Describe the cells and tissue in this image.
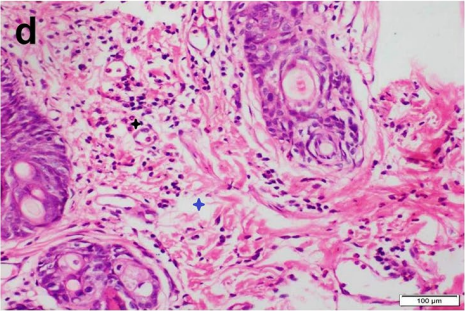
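This is the dermis of the skin, crowded with inflammatory cells lying among loose connective tissue. Many small cells with dark, round or irregular nuclei are scattered densely through the upper and middle field. The pink collagen fibres are pulled apart and separated by pale empty spaces, giving the tissue a loose, swollen look. Round profiles of hair follicles with their layered epithelial sheaths lie at the edges of the field. Compared with normal dermis, the tissue is far more cellular and its fibres far less compact.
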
